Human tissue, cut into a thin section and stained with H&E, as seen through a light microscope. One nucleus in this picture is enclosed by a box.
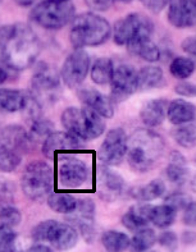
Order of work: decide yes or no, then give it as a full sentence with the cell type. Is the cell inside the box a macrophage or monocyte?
No, the cell inside the box is regarded as a proliferating B cell rather than a macrophage or monocyte.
